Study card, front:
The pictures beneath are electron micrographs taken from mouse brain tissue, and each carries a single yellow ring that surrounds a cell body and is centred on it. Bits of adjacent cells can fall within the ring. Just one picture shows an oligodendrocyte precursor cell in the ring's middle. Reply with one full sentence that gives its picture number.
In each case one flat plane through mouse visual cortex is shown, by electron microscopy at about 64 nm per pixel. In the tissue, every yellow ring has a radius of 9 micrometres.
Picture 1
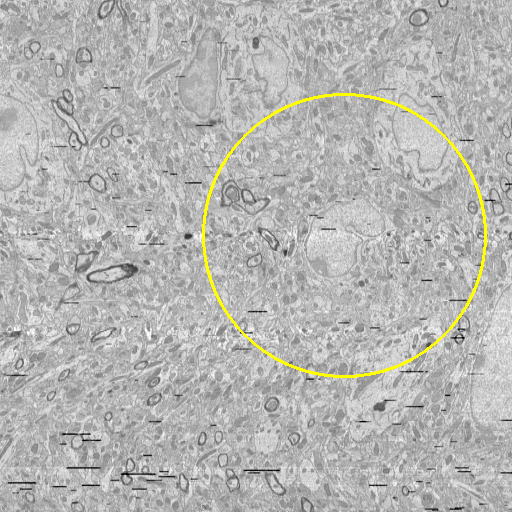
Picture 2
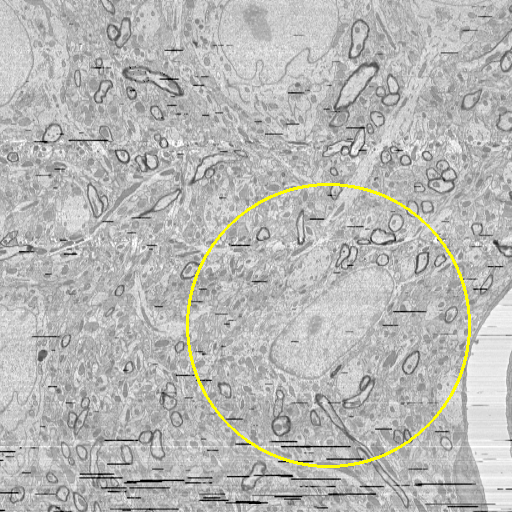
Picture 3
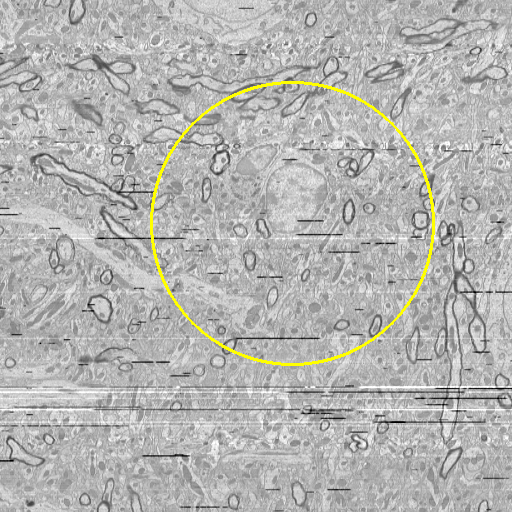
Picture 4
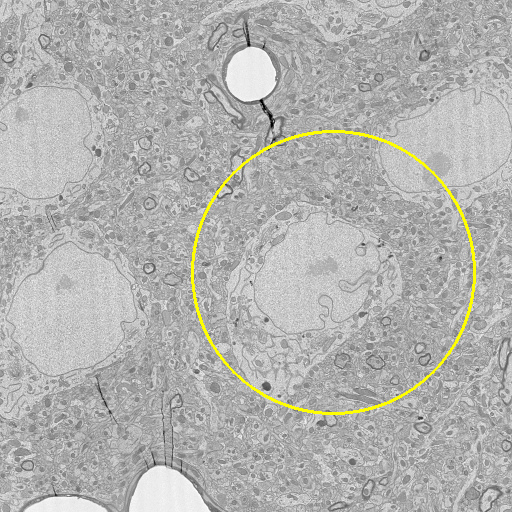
Picture 1 is the one whose ring has the requested cell at its centre.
